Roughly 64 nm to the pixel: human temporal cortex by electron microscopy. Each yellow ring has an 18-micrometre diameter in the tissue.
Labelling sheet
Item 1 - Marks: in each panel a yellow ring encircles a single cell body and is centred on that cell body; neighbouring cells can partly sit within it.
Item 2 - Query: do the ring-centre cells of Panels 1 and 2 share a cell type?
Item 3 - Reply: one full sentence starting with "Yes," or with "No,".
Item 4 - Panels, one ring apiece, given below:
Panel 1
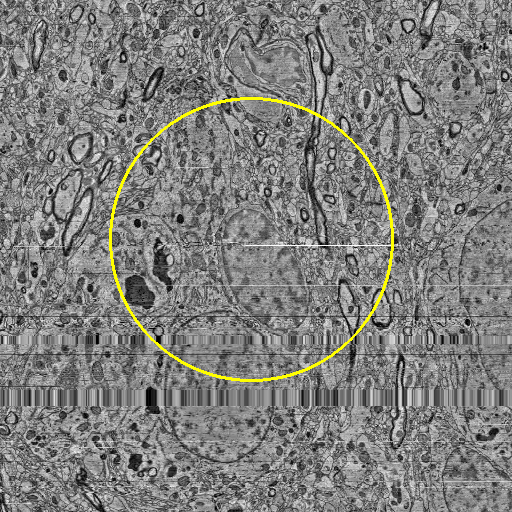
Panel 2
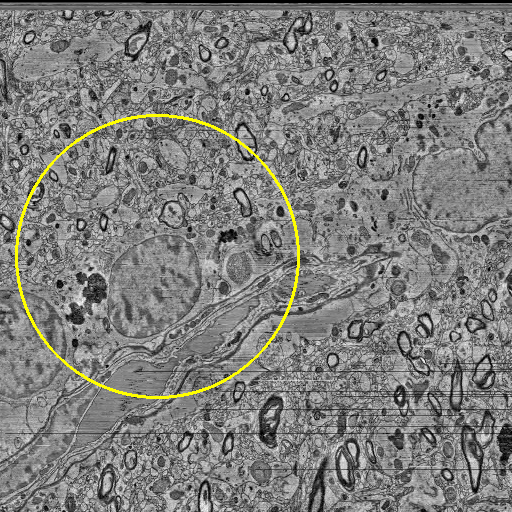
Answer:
Yes, Panel 1 and Panel 2 show one cell type at the centres of their rings.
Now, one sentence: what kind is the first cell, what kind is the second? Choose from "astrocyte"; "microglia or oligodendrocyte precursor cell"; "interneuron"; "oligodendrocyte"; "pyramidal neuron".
The ring centre holds an oligodendrocyte in each of the two pictures.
